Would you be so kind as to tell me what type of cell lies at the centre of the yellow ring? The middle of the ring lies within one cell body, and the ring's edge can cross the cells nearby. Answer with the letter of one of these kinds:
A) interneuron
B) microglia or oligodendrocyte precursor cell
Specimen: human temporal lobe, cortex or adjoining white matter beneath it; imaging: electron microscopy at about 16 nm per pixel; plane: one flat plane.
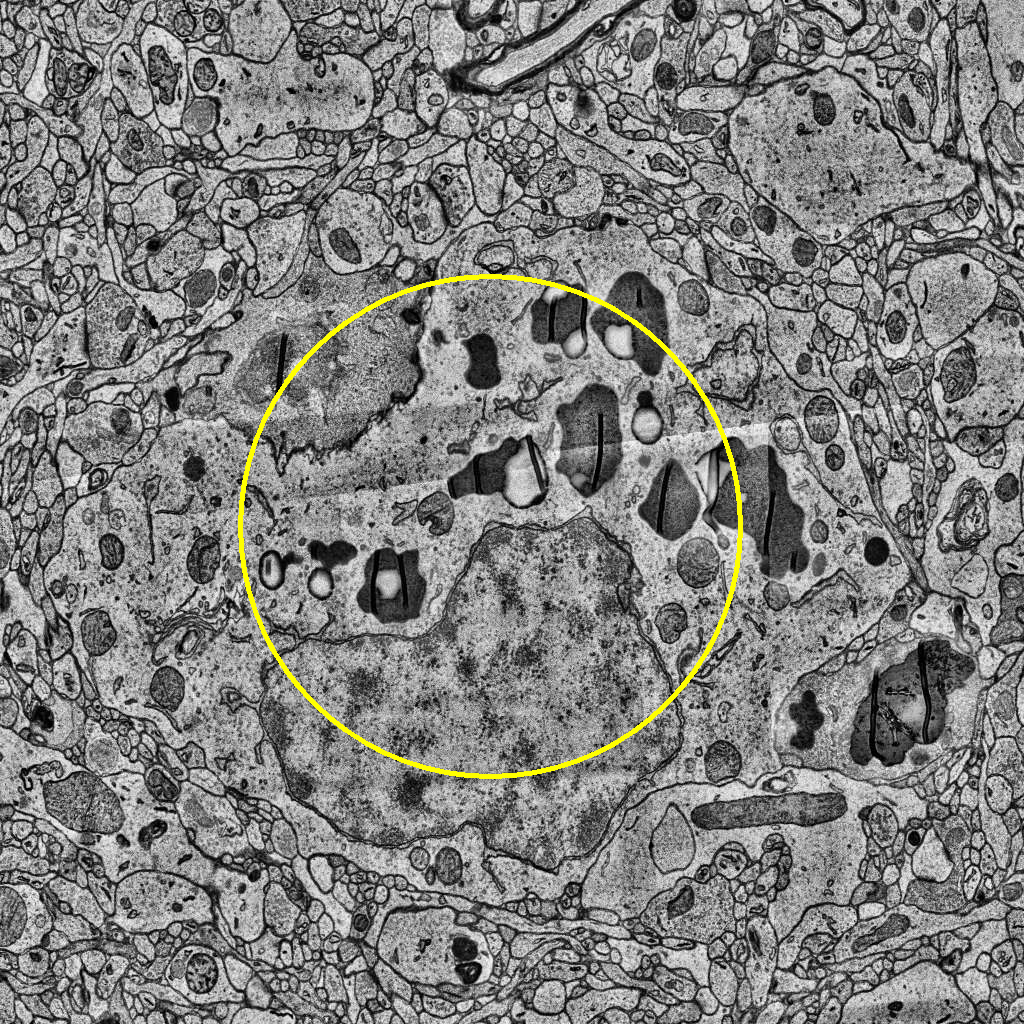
A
